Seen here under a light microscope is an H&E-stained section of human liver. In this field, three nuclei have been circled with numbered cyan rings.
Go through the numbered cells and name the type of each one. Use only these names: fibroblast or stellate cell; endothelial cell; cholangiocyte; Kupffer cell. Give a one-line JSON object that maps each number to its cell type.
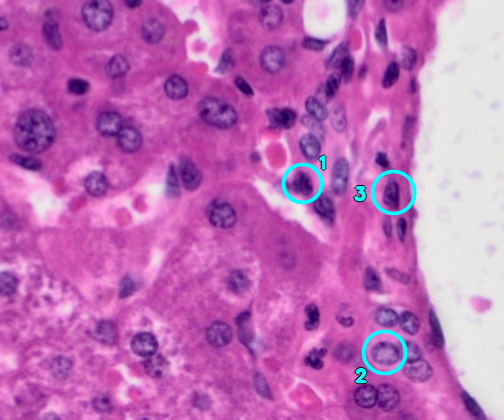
{"1": "fibroblast or stellate cell", "2": "cholangiocyte", "3": "fibroblast or stellate cell"}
